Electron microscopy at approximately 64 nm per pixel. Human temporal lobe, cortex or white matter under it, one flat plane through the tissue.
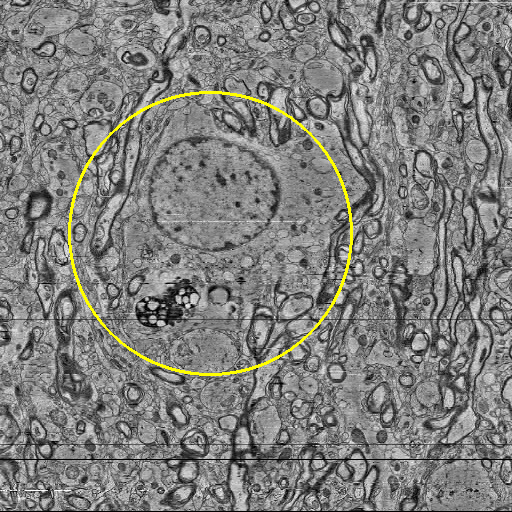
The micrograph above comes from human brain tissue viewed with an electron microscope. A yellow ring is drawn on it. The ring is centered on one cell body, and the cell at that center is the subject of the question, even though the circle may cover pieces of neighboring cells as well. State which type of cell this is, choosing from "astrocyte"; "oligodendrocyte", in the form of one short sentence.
The cell the ring is centered on is an astrocyte.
